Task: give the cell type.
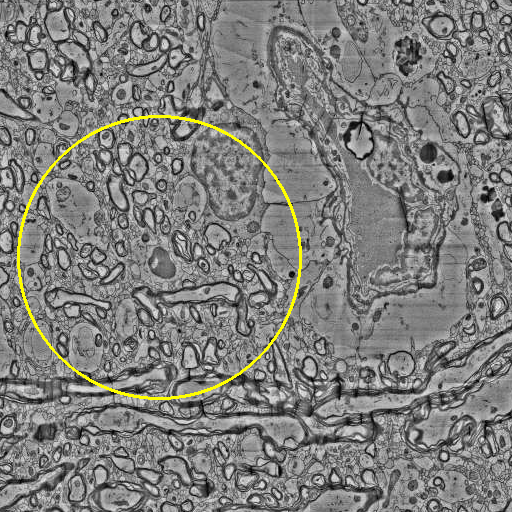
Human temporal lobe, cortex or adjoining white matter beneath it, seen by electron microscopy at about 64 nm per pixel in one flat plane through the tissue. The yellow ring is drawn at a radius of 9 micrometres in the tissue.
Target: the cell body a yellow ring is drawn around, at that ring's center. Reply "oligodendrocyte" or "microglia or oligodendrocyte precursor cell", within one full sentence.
In this picture, the cell whose body lies at the ring's center is a microglial cell or oligodendrocyte precursor cell.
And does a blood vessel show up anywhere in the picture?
Yes, a vessel appears in the picture.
